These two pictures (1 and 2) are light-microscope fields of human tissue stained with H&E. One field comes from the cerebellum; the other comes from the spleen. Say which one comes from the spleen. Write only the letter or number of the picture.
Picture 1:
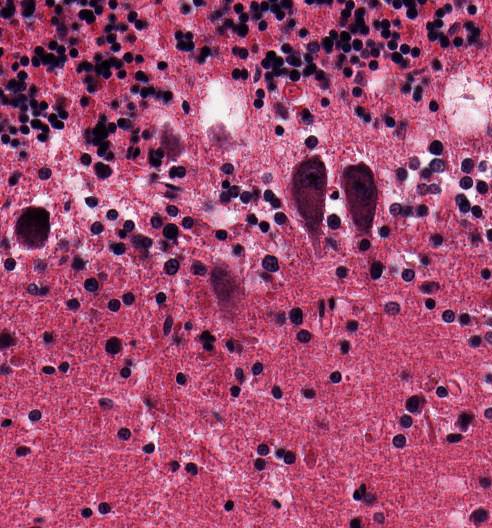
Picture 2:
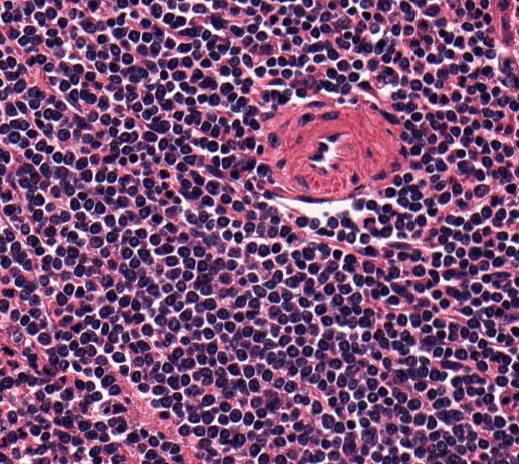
2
